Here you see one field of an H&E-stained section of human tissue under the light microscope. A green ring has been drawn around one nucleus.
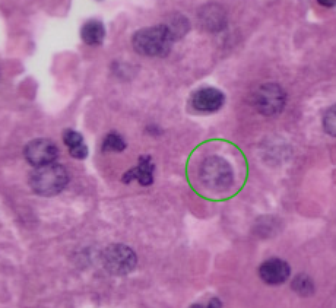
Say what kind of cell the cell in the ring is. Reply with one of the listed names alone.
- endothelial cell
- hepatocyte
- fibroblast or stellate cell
hepatocyte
